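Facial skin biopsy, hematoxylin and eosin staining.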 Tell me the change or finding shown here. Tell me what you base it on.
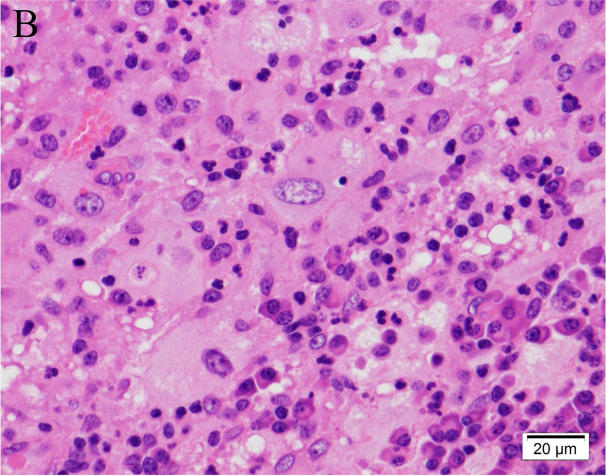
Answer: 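Large cells with abundant pale pink cytoplasm and oval vesicular nuclei. Small dark round and lobed nuclei of lymphocytes and neutrophils lie over and within the cytoplasm of the large cells. So: emperipolesis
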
